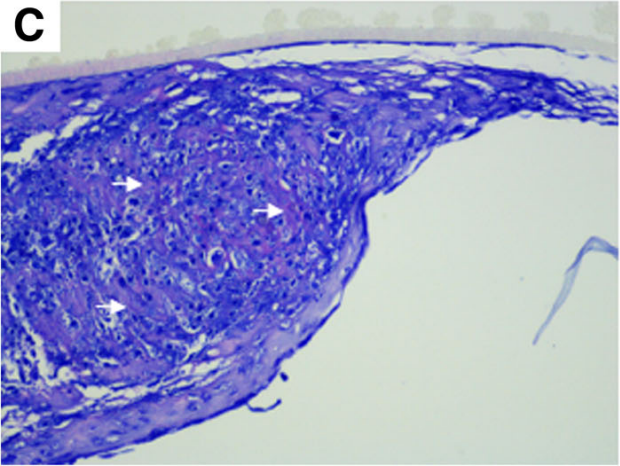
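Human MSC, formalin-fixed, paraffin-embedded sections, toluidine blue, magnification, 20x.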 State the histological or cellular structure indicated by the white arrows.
Sulphated glycosaminoglycans.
